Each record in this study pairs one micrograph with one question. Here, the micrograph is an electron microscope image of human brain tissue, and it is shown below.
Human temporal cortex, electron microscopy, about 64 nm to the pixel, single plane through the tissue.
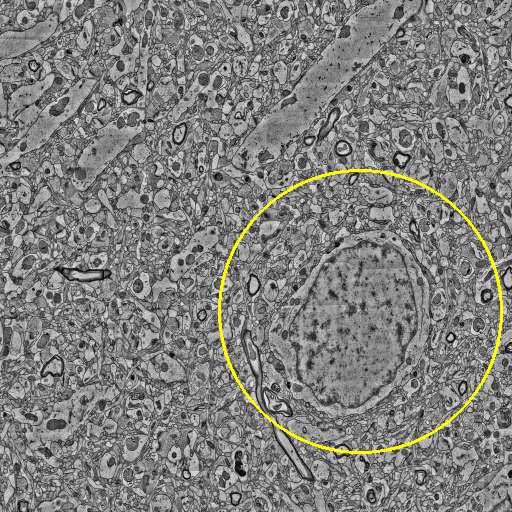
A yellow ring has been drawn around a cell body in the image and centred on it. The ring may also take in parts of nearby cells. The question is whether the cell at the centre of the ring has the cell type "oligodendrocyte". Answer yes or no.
no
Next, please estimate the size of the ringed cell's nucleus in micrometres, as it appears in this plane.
In this plane, about 11 micrometres in length and 7 in width.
